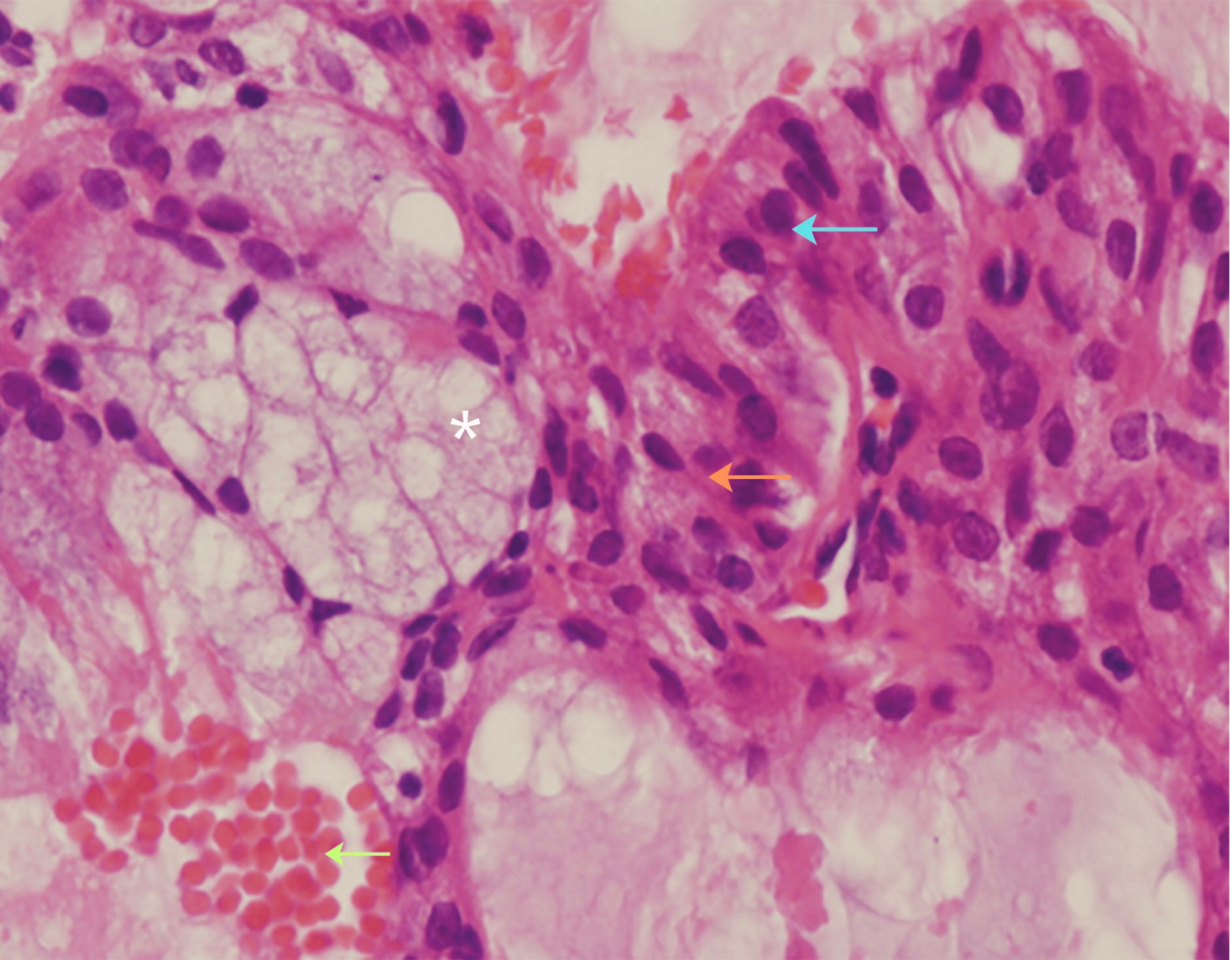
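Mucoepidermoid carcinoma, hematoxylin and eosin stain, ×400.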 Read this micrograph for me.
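This tumour is made of a mixture of cell types lying side by side. On the left are large mucous cells whose cytoplasm is pale and foamy, filled with clear vacuoles, with small dark nuclei squeezed to their edges. On the right are packed cells with pink cytoplasm and oval purple nuclei, the epidermoid cells, forming solid nests. Clear spaces between the nests hold pale material, and one of them contains a cluster of bright red, round, nucleus-free red blood cells.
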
